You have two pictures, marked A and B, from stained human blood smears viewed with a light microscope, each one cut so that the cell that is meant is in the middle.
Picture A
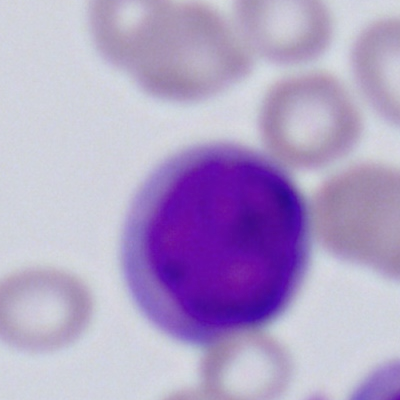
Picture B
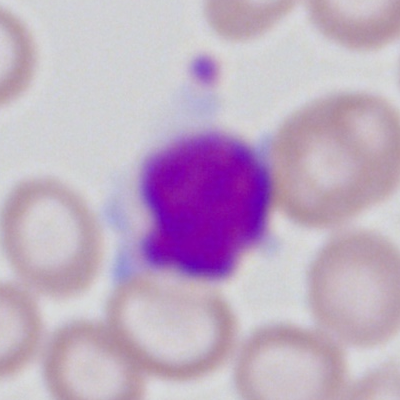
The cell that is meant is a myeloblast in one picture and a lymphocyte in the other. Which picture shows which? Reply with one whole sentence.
It is picture A that shows a myeloblast, and picture B that shows a lymphocyte.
